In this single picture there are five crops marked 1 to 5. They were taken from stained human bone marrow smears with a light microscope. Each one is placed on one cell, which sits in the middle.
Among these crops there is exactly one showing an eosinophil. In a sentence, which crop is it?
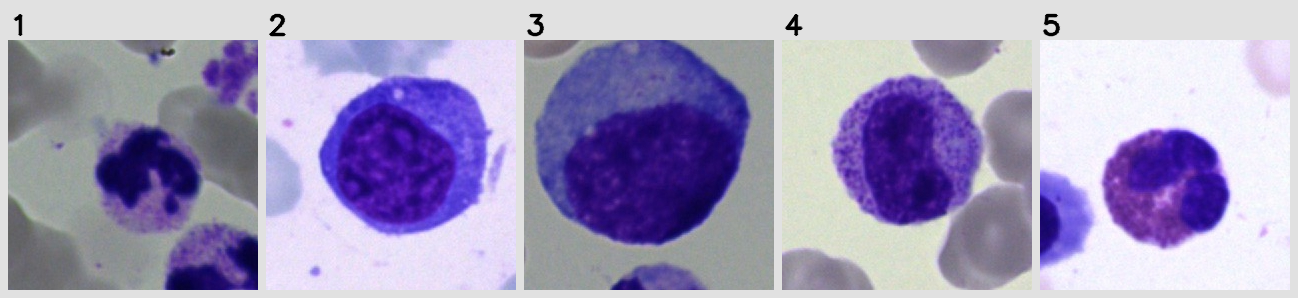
The one crop that shows an eosinophil is crop 5.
